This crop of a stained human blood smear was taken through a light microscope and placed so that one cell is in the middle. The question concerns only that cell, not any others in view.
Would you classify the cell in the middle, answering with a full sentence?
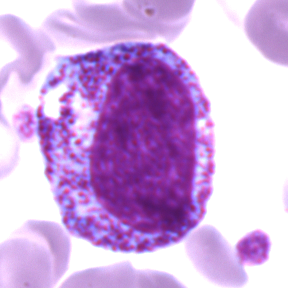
The cell marked by its central position in the crop is a promyelocyte.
